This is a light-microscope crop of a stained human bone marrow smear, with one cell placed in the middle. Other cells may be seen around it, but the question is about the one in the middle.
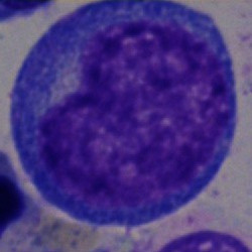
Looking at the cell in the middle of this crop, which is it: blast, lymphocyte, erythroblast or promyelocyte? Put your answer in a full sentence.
Regarding the central cell, it is a promyelocyte.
